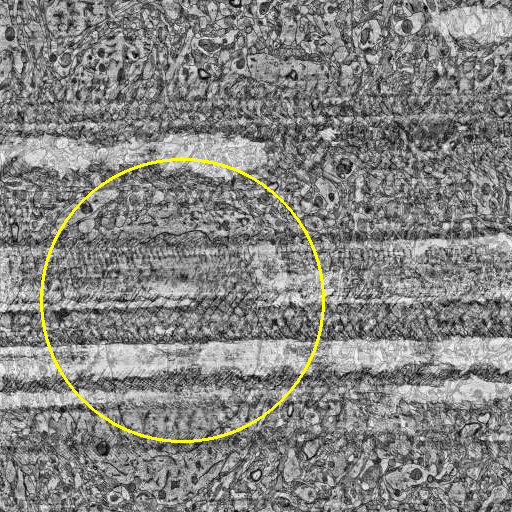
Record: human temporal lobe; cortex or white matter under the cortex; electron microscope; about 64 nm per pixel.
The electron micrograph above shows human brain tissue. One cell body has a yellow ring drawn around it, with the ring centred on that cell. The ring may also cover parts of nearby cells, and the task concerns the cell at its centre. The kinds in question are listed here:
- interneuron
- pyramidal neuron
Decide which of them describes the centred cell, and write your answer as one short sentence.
The centred cell is a pyramidal neuron.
